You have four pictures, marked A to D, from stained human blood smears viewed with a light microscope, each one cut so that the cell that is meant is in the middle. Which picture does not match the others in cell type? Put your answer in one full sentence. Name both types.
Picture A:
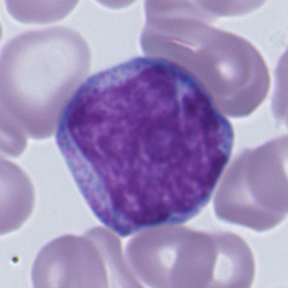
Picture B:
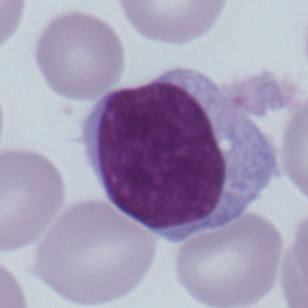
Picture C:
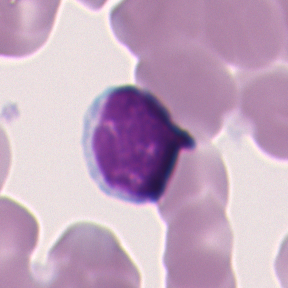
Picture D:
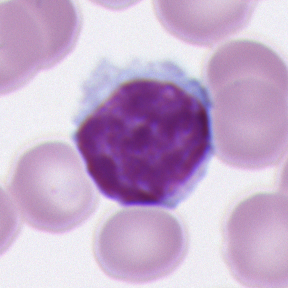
All pictures except A show typical lymphocytes; picture A shows a promyelocyte.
